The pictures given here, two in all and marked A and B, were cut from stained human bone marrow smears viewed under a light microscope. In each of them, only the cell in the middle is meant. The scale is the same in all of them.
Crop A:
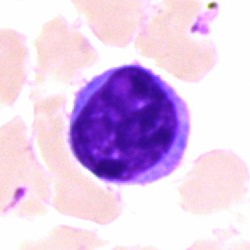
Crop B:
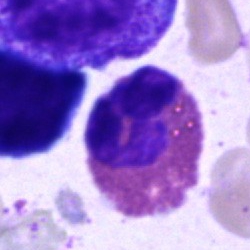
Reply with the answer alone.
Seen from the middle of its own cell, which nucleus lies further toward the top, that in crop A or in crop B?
B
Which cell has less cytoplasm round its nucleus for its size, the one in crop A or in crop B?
A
